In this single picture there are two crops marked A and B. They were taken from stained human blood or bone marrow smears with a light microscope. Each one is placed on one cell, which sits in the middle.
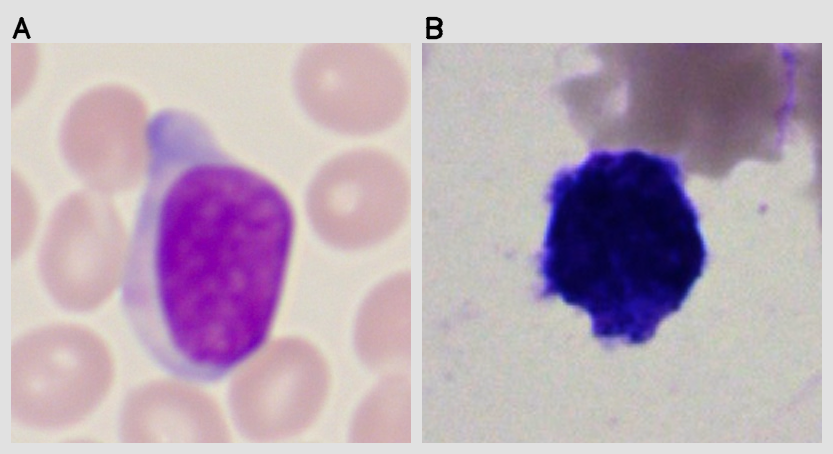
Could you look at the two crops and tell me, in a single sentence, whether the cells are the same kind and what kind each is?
Yes, both crops show blasts at their middles.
